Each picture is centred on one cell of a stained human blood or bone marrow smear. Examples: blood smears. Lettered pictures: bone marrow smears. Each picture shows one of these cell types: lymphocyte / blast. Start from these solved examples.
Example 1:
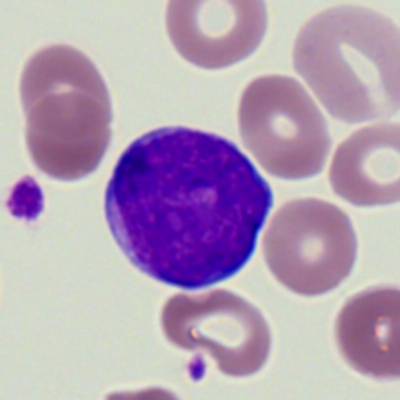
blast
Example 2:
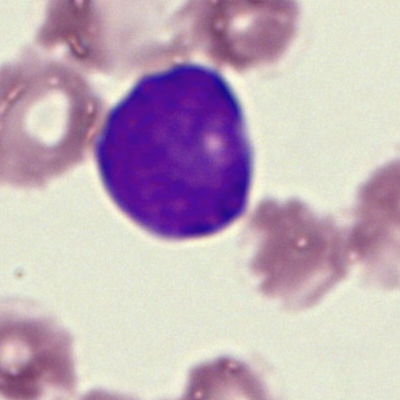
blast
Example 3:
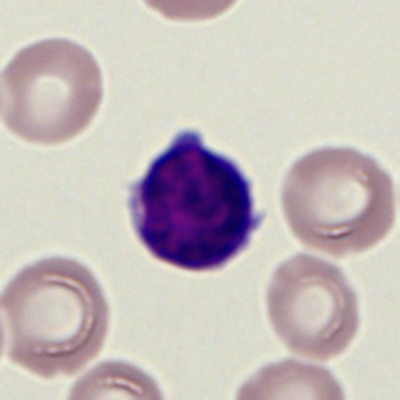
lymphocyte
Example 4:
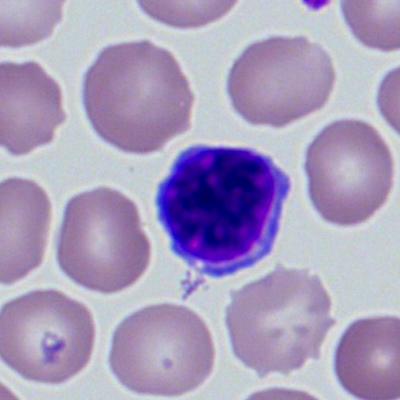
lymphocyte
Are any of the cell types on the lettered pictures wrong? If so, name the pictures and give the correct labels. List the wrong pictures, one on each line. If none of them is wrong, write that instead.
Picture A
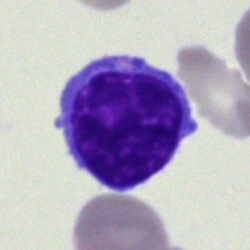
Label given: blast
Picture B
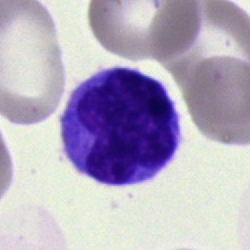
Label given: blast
A should be lymphocyte, not blast
B should be lymphocyte, not blast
